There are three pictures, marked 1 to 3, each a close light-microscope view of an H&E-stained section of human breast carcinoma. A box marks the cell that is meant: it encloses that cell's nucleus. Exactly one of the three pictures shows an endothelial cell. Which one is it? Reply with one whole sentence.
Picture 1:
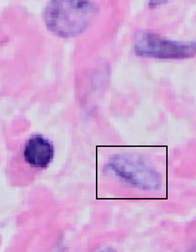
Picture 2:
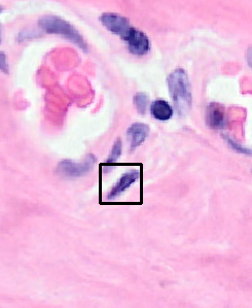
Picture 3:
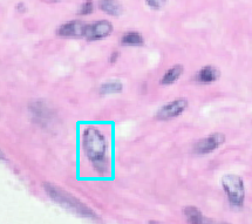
The picture with the endothelial cell is 3.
